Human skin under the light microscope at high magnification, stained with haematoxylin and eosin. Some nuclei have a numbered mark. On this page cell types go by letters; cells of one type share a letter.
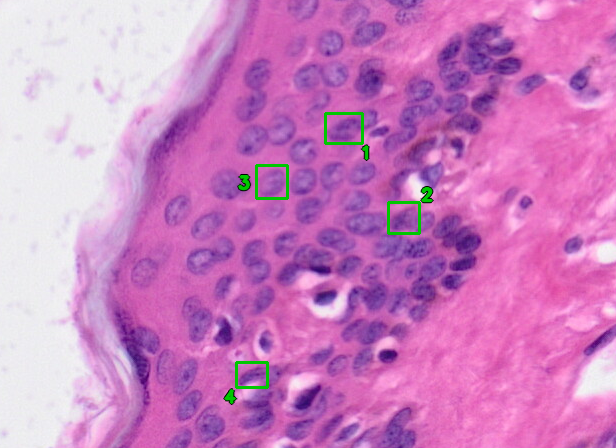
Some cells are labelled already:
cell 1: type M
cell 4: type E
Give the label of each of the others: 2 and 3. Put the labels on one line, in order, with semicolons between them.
type E; type M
